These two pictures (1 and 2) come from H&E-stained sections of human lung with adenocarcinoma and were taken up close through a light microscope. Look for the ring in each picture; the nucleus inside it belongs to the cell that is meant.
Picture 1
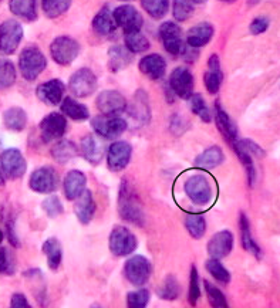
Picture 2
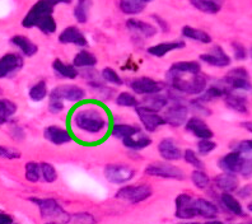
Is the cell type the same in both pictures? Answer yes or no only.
yes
